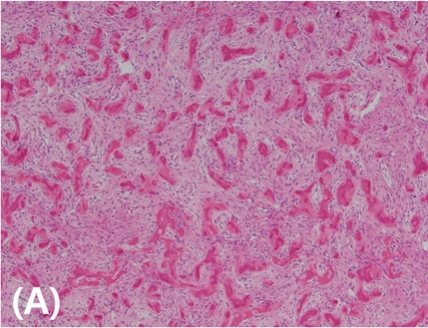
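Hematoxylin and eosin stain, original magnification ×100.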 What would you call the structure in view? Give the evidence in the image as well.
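Many small, curved and branching pink bony fragments are scattered evenly. The fragments have no regular trabecular arrangement. A paler pinkish cellular stroma fills the spaces between them.
Irregular spicules of immature bone.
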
